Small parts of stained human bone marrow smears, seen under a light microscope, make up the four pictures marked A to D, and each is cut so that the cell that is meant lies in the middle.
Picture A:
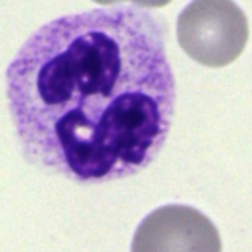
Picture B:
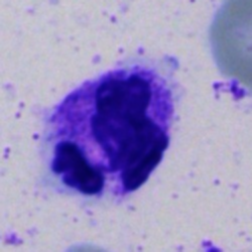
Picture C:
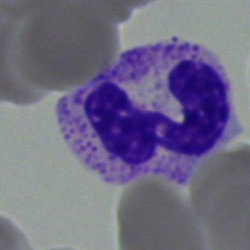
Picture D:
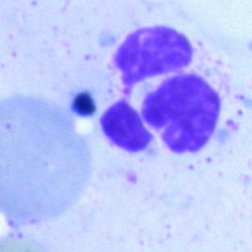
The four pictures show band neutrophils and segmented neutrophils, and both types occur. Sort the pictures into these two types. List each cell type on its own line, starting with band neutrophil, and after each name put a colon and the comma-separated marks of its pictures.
band neutrophil: C
segmented neutrophil: A, B, D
